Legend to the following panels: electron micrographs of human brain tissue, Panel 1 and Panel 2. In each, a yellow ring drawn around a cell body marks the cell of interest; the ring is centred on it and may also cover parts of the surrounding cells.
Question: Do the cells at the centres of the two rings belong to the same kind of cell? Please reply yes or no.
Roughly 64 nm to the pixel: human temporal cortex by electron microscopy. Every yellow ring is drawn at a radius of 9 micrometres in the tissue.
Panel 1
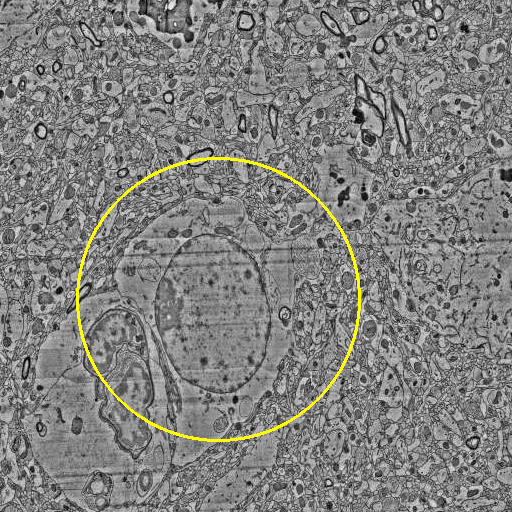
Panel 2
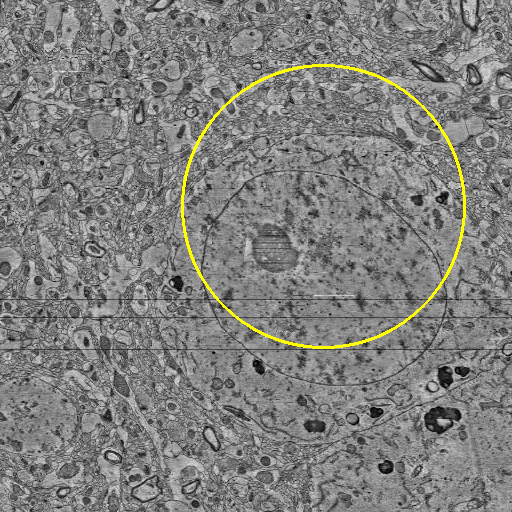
no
